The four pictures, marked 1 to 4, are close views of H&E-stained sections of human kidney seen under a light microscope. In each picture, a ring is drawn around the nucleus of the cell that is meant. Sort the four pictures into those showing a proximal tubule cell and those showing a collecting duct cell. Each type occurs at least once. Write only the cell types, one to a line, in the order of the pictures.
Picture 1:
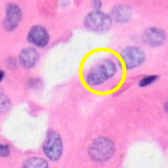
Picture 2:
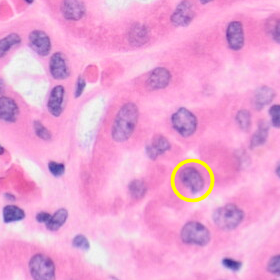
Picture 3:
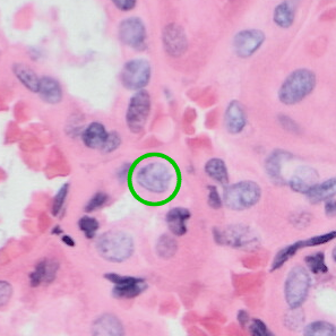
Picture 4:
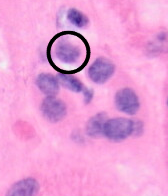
collecting duct cell
proximal tubule cell
collecting duct cell
collecting duct cell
